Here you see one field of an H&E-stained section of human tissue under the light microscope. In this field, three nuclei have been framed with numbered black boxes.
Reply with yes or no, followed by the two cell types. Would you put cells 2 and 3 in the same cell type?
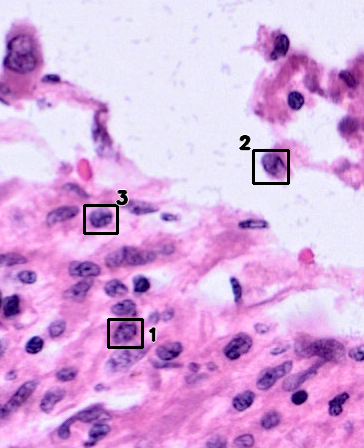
No, cell 2 is a macrophage or monocyte and cell 3 is a lymphocyte.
